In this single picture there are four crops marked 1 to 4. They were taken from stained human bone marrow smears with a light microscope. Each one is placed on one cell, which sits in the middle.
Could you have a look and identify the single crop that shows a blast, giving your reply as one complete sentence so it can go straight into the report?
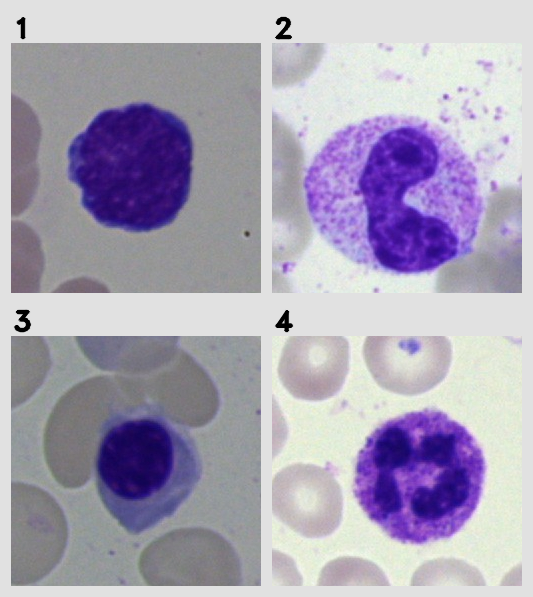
Identified crop: 1, the one that shows a blast.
